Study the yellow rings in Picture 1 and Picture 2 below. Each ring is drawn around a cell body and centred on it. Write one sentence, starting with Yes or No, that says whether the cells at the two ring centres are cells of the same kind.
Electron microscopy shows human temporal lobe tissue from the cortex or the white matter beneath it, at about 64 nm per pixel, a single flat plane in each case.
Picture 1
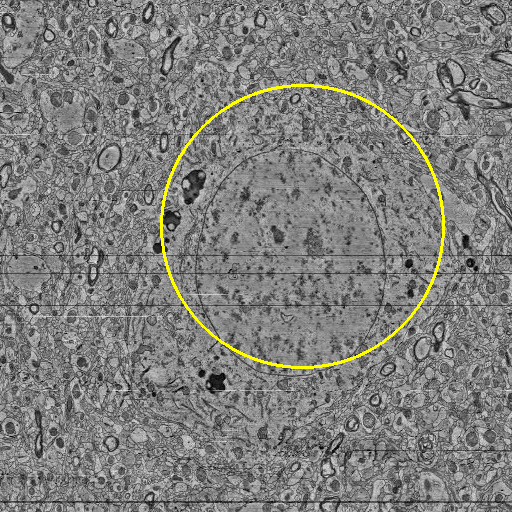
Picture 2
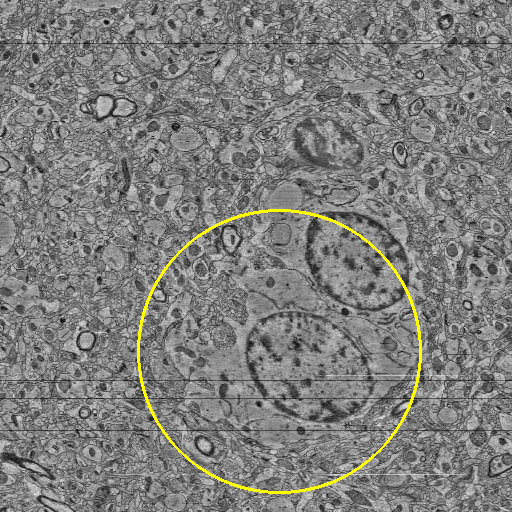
No, the cells at the ring centres are of two kinds.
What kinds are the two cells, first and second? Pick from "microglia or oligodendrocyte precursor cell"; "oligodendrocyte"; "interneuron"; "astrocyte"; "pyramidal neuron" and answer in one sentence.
The second picture holds an astrocyte in its ring, and the first holds a pyramidal neuron.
